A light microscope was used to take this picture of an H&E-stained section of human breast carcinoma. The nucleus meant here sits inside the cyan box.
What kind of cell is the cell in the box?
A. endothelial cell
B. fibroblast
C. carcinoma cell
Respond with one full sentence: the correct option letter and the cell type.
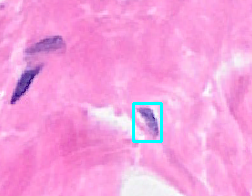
The correct option is B, and the cell in the box is a fibroblast.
